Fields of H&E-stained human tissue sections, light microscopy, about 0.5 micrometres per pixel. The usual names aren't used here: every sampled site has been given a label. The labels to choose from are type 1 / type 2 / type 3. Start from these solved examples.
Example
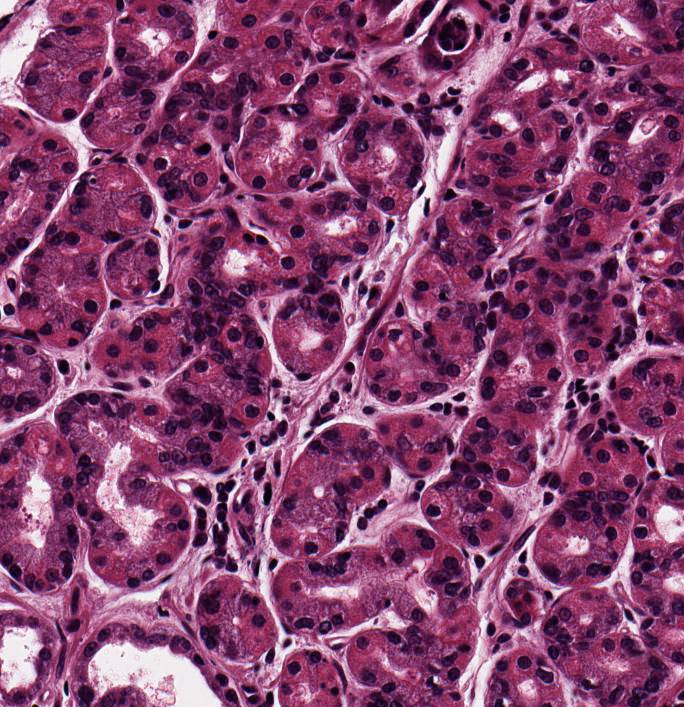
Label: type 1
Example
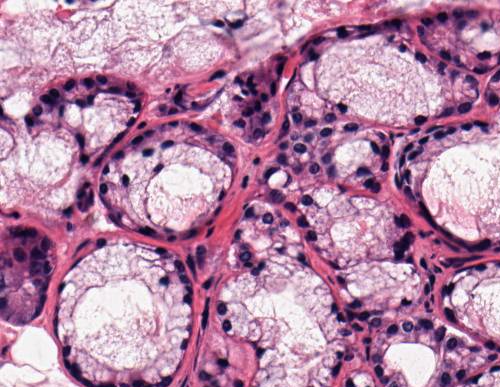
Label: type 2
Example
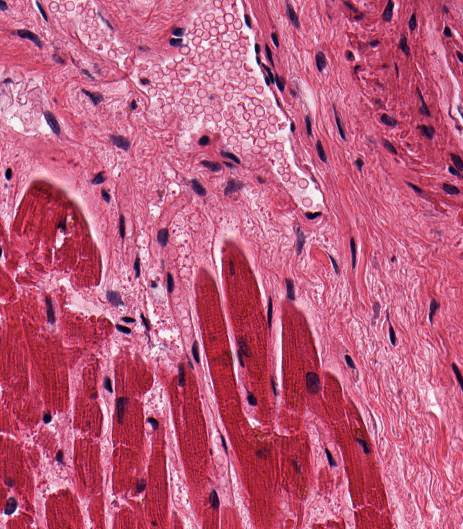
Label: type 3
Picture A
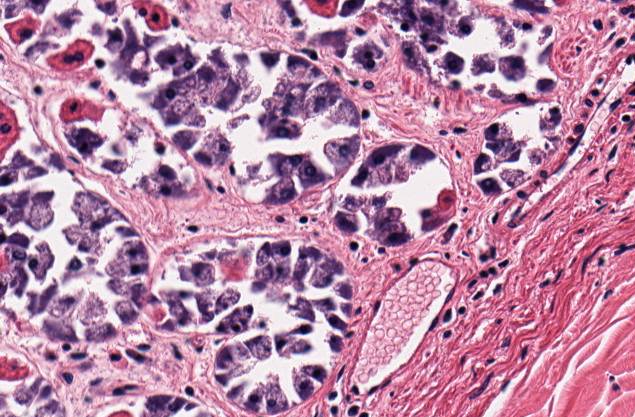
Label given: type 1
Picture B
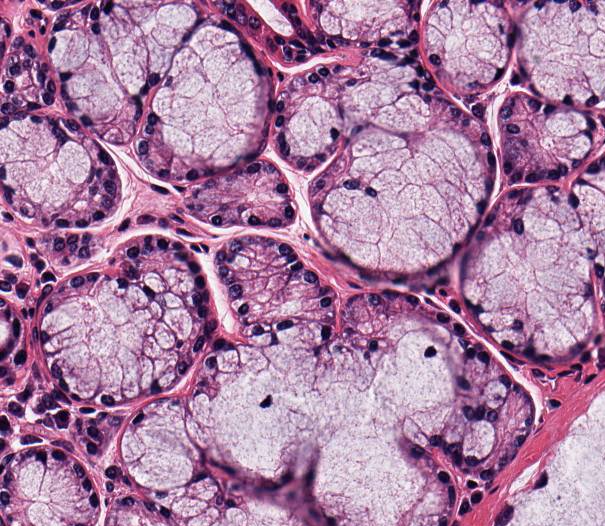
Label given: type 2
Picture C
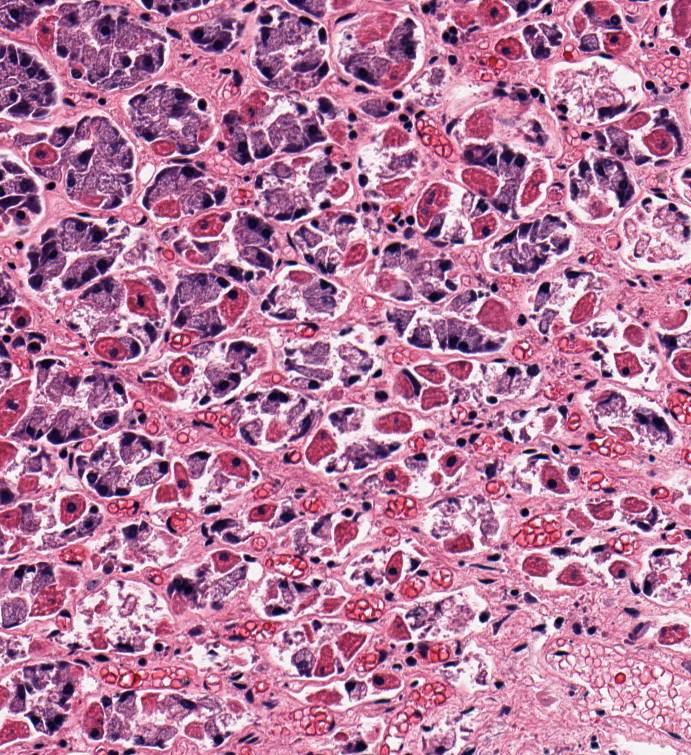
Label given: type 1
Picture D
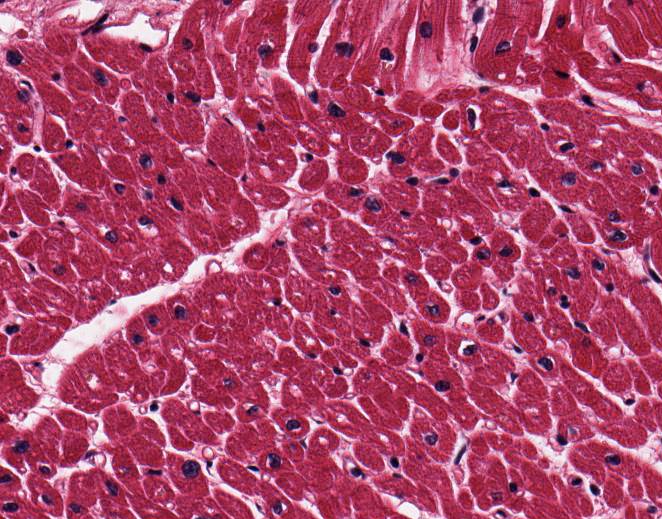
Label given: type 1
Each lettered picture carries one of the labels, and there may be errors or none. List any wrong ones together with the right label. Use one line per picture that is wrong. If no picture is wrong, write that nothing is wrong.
D should be type 3, not type 1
